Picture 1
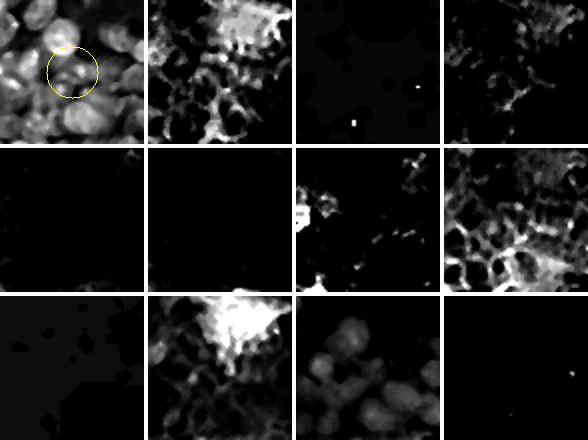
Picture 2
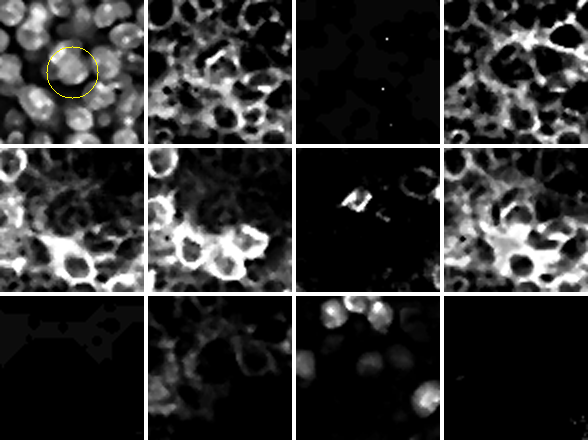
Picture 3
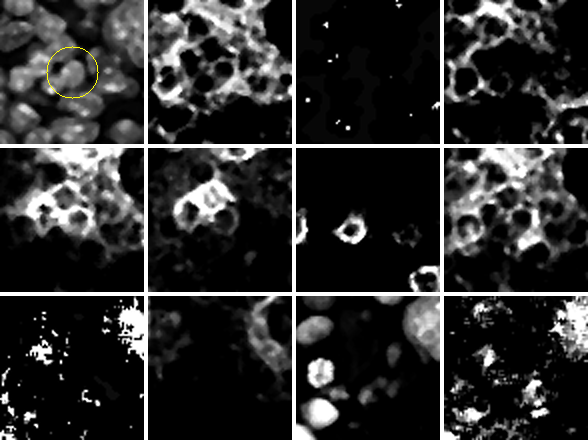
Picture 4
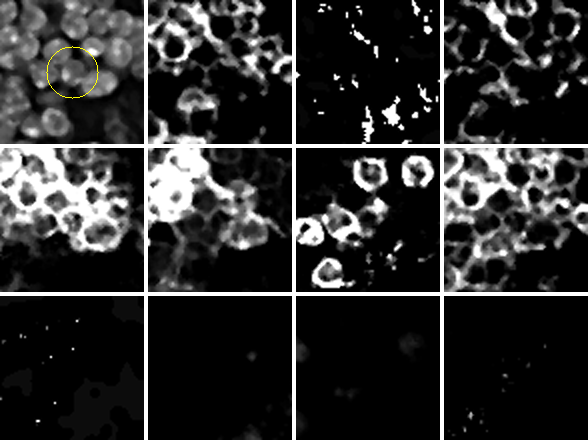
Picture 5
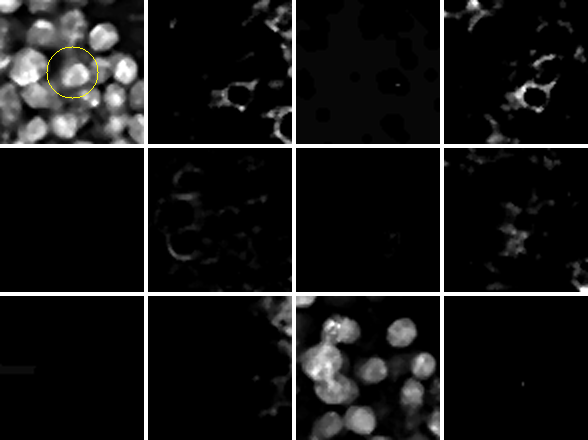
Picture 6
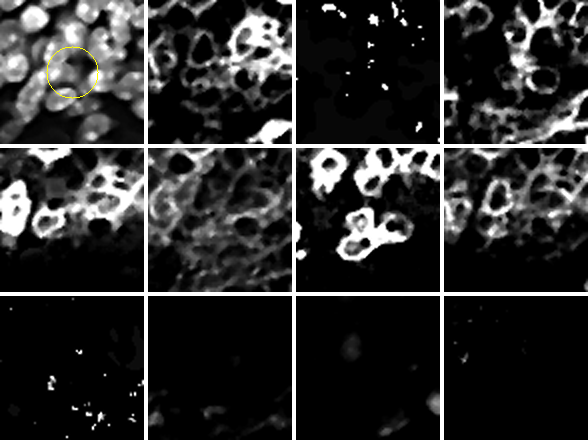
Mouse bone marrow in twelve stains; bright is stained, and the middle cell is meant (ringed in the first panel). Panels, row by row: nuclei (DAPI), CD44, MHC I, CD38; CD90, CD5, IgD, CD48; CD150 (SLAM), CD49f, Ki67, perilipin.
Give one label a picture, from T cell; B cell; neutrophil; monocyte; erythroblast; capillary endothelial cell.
Picture 1: neutrophil
Picture 2: monocyte
Picture 3: T cell
Picture 4: B cell
Picture 5: erythroblast
Picture 6: B cell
